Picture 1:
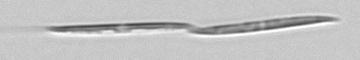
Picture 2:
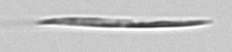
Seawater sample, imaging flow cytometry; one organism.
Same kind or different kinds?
Same: Pseudo-nitzschia.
